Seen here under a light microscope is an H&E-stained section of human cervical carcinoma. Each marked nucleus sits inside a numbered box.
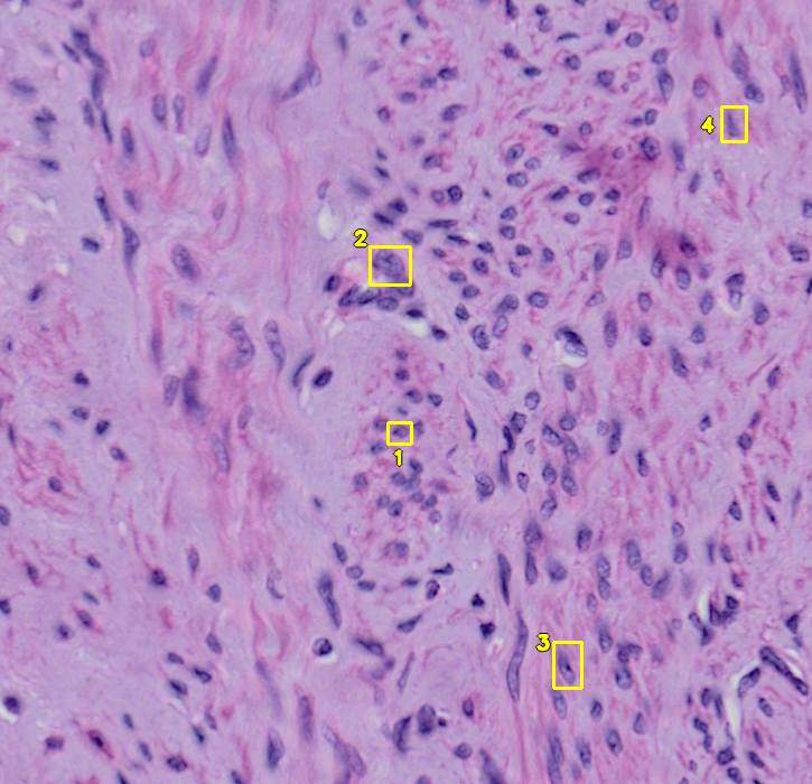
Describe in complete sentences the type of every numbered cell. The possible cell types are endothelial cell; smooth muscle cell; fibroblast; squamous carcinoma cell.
Cells 1, 3 and 4 are smooth muscle cells. Cell 2 is an endothelial cell.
